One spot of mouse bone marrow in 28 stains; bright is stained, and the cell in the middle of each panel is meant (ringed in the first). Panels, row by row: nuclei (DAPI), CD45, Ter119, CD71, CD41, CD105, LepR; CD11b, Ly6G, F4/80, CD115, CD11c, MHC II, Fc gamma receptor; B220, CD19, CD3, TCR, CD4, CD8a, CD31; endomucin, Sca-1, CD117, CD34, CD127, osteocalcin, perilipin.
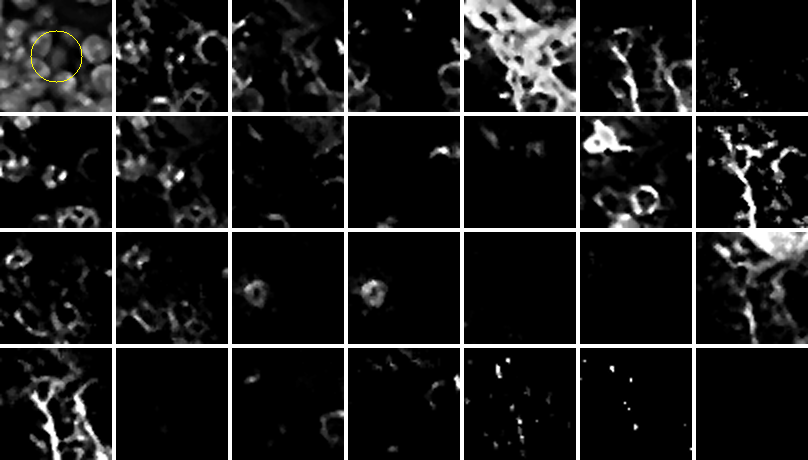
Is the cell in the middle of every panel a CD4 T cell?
No, it is a neutrophil.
